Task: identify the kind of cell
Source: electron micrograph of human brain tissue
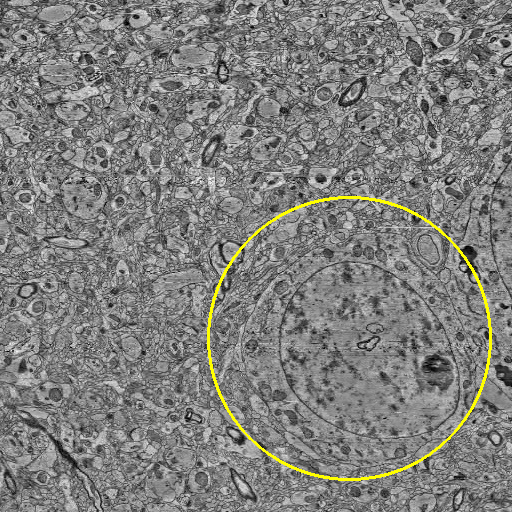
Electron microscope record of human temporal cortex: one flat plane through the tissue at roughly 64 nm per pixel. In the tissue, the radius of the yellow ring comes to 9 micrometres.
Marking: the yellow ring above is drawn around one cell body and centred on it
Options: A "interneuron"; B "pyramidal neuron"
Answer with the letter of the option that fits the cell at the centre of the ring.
B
